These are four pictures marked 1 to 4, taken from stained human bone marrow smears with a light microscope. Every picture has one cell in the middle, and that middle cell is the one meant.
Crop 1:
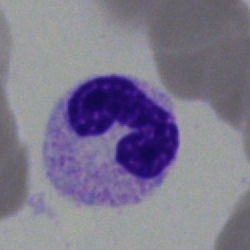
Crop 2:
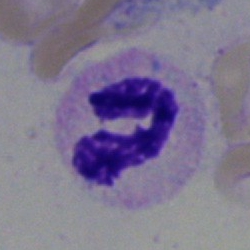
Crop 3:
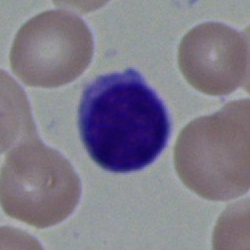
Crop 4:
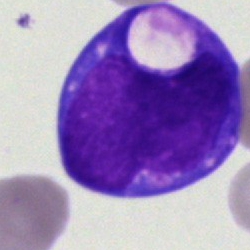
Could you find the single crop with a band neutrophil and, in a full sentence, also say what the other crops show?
The central cell in crop 1 is a band neutrophil, whereas crop 2 is a segmented neutrophil, crop 3 is a lymphocyte and crop 4 is a blast.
